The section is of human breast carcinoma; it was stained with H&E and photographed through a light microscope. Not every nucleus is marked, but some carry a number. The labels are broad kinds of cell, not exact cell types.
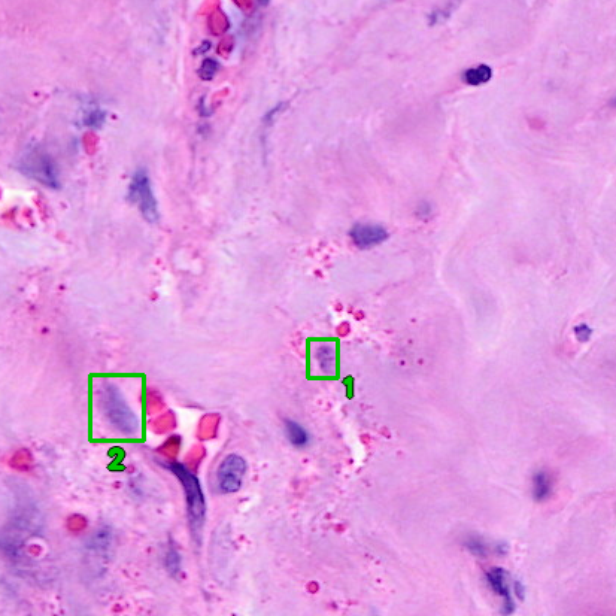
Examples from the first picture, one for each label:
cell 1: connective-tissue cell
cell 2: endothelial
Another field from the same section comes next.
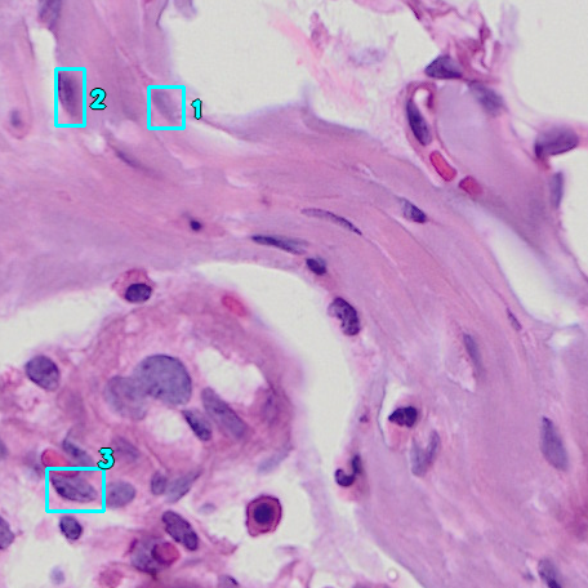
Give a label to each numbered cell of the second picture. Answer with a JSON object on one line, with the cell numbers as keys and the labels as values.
{"1": "connective-tissue cell", "2": "connective-tissue cell", "3": "endothelial"}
